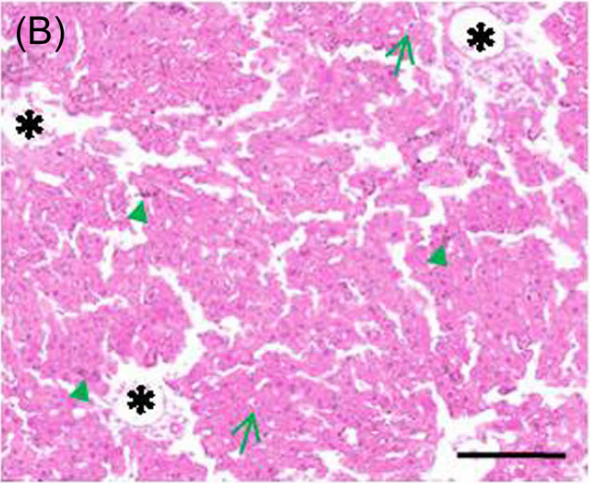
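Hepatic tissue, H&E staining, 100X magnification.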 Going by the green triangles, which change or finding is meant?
Inflammatory cell infiltration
